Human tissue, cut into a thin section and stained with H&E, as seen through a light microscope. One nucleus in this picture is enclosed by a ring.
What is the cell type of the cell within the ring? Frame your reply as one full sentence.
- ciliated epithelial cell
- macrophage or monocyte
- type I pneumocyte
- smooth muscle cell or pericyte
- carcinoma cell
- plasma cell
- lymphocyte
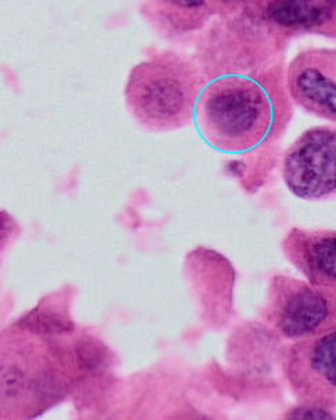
At the level of cell identity, the cell within the ring is a carcinoma cell.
